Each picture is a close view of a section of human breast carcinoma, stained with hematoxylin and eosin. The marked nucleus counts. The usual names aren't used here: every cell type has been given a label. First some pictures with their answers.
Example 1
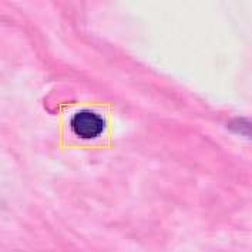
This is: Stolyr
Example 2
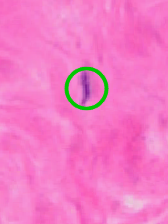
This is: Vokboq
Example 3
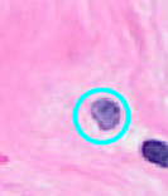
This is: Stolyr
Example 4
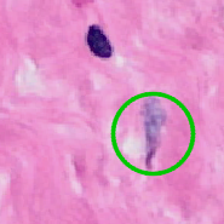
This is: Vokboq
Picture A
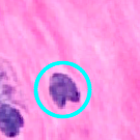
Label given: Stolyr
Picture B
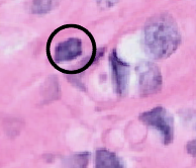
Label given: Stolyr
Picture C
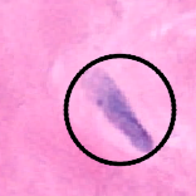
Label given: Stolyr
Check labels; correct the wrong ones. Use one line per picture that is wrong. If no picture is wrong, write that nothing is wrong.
Wrong: C (Stolyr); correct: Vokboq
